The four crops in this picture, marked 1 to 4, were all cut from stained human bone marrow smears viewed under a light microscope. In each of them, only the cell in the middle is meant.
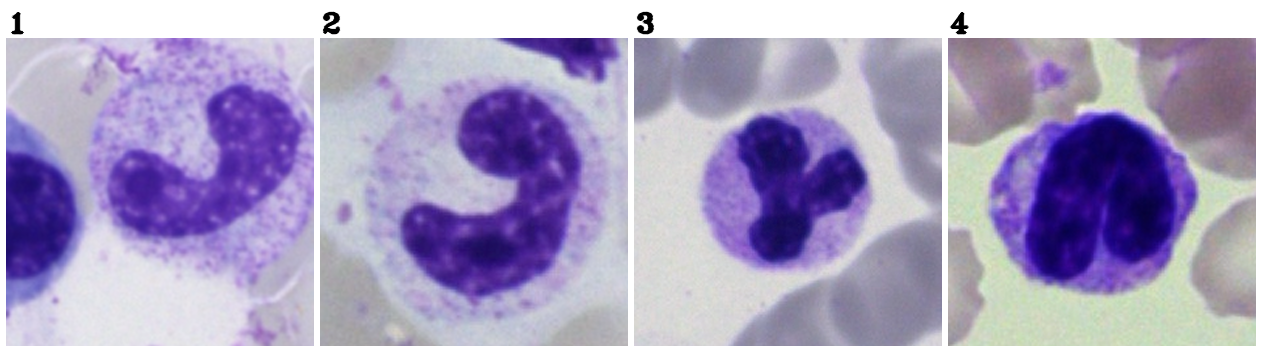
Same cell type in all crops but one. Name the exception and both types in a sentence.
Crop 3 is the only crop with a segmented neutrophil, the others all showing band neutrophils.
